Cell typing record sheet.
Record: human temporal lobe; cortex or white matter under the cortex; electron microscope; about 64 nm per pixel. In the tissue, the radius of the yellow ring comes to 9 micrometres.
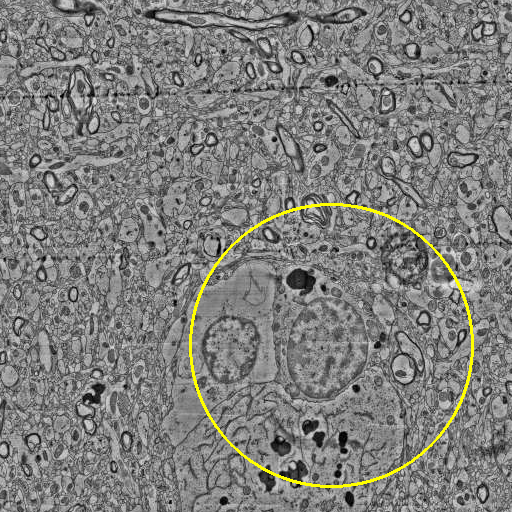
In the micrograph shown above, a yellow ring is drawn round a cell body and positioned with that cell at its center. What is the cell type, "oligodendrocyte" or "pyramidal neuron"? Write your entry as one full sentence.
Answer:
The cell body at the center of the ring belongs to an oligodendrocyte.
